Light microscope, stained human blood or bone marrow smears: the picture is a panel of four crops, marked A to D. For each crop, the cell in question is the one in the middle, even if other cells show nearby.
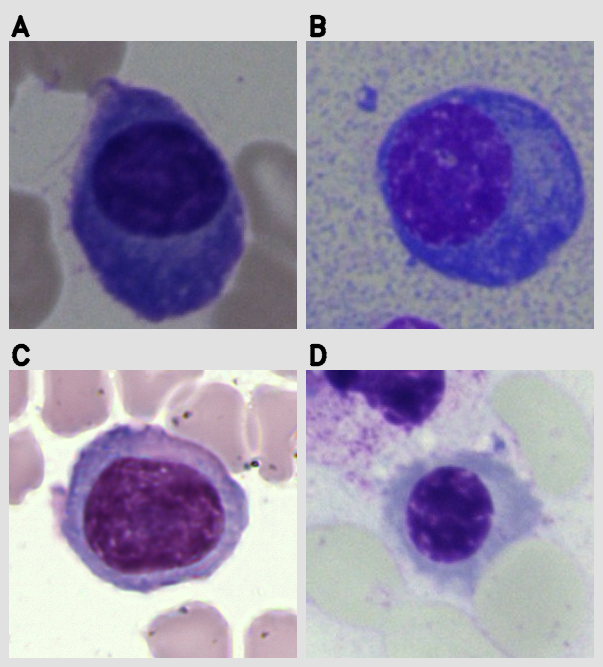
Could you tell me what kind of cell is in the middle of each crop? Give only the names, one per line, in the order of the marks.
plasma cell
plasma cell
plasma cell
erythroblast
